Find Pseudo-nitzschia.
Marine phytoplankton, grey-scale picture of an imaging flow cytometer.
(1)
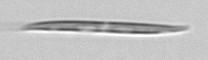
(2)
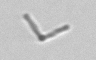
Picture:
1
